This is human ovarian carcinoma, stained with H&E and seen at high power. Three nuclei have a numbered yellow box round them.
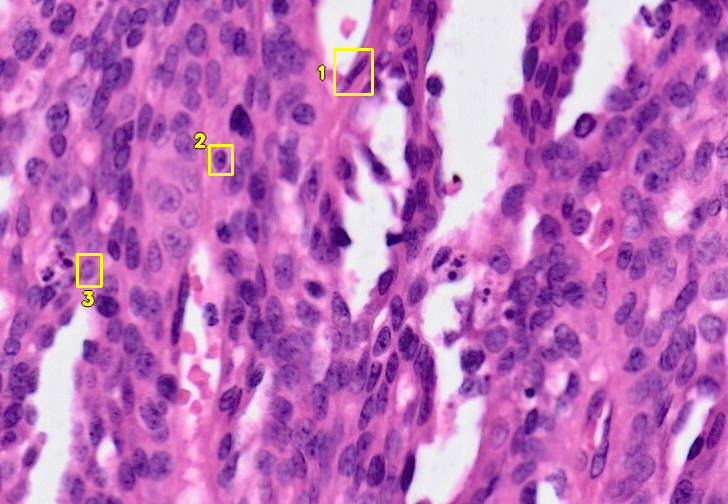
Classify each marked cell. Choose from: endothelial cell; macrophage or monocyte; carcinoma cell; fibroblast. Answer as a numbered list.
1. endothelial cell
2. macrophage or monocyte
3. carcinoma cell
